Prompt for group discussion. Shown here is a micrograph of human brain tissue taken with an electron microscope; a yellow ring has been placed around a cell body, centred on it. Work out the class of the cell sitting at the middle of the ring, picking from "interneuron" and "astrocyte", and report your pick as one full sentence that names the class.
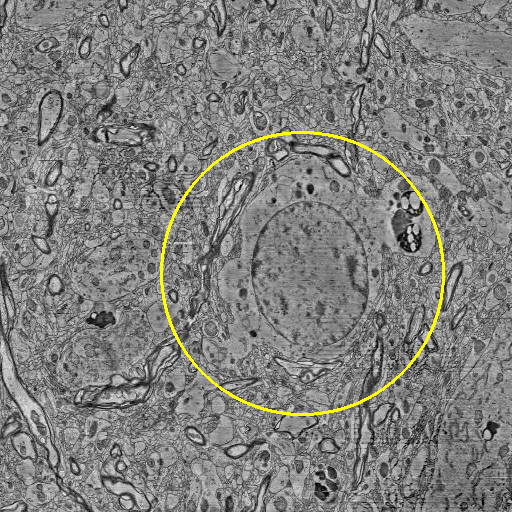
The cell sitting at the middle of the yellow ring is an astrocyte.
